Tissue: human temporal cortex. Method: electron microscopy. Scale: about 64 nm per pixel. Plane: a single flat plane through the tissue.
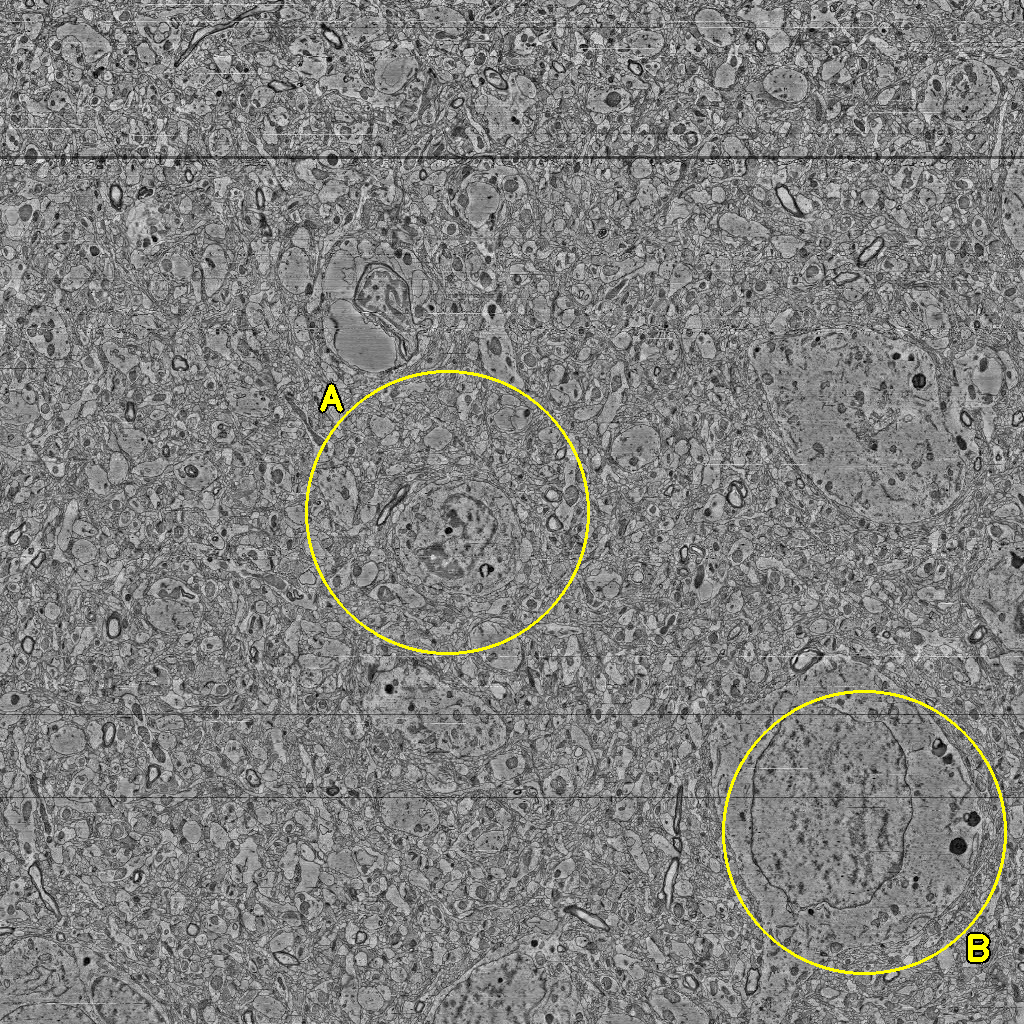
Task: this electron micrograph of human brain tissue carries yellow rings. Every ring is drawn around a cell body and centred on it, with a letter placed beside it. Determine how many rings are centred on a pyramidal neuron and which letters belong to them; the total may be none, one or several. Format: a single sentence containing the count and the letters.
There is a single ring with a pyramidal neuron at its centre, and it is labelled B.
